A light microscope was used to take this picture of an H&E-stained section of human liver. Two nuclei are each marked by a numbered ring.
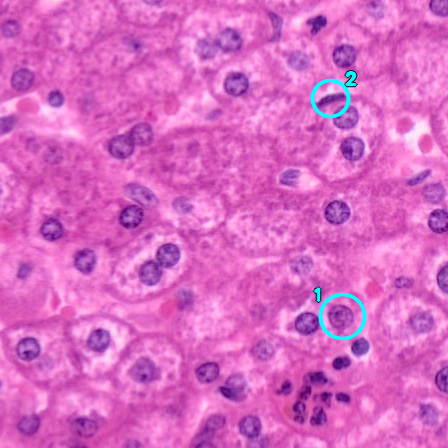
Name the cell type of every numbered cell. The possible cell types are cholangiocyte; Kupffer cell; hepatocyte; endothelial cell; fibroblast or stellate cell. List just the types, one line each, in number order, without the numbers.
hepatocyte
endothelial cell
